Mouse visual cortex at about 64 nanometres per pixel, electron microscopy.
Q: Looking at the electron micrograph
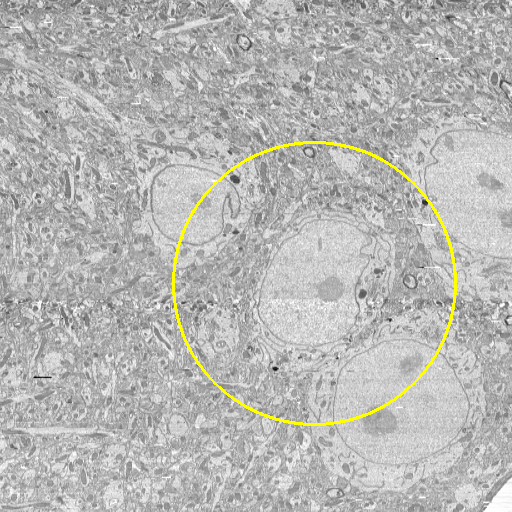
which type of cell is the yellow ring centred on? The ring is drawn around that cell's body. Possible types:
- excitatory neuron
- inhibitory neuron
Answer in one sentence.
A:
The yellow ring is centred on an inhibitory neuron.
